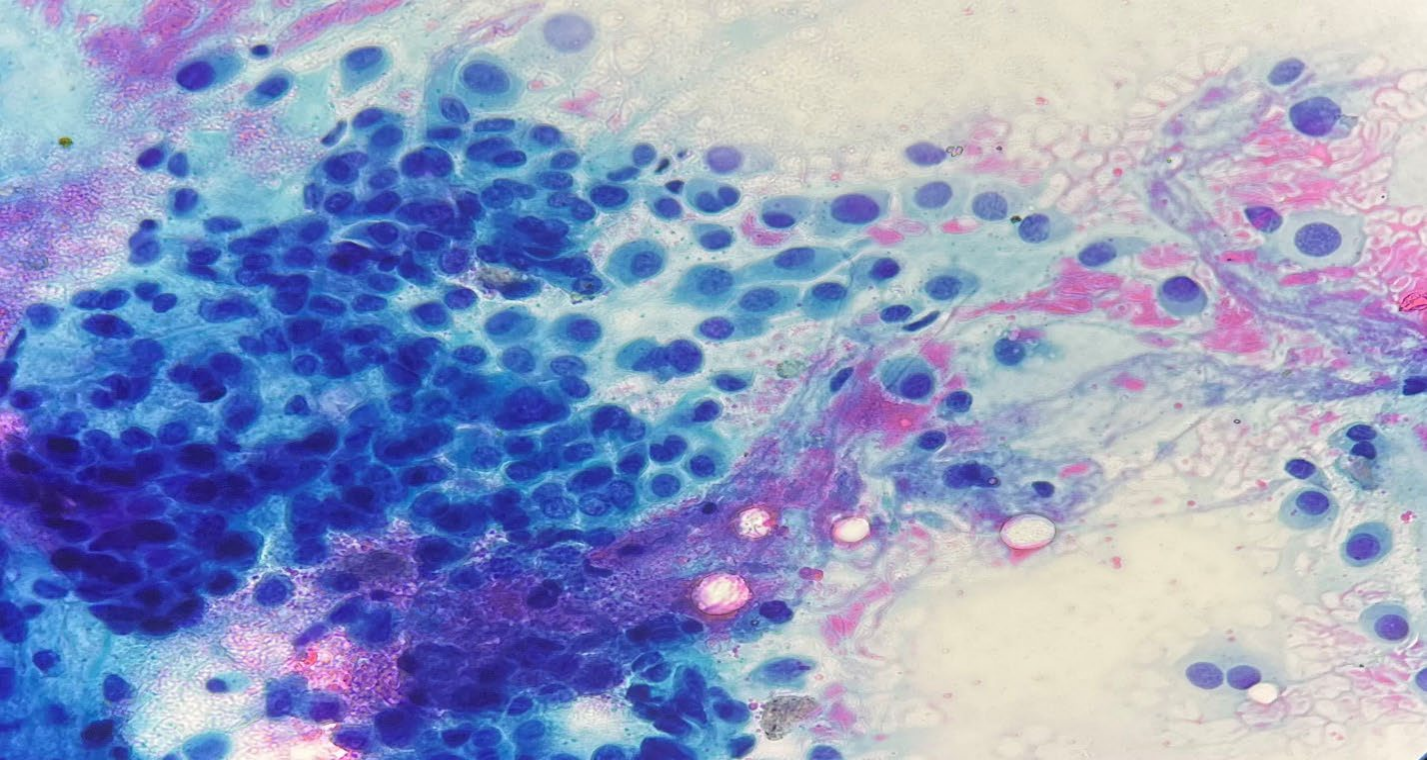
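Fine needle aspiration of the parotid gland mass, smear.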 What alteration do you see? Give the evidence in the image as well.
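Bland cells with uniform nuclei arranged in a cohesive cluster and singly. Fibrillary extracellular matrix intimately mixed with the cells.
Hence: pleomorphic adenoma.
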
